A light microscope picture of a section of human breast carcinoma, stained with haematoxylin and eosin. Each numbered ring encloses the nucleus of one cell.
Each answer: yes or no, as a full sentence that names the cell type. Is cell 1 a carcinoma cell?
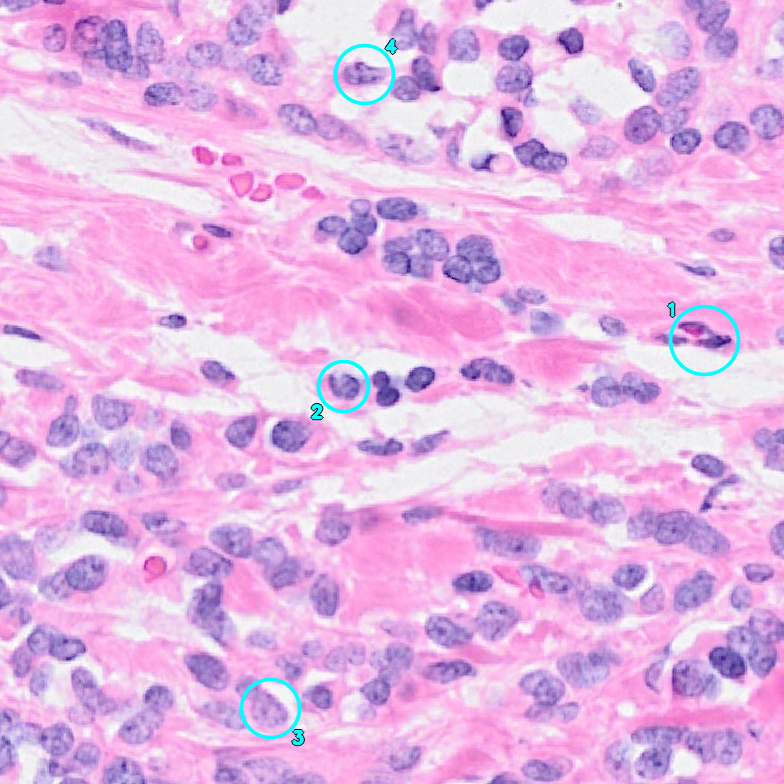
No, number 1 is assigned to an endothelial cell, not to a carcinoma cell.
